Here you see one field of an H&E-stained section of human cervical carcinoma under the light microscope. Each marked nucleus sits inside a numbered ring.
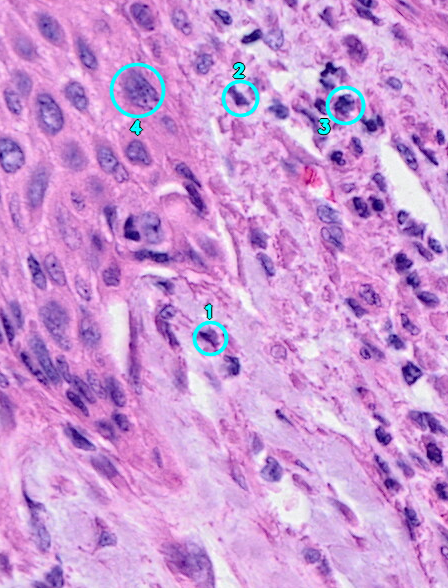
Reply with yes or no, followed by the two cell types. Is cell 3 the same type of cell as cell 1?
No, what is marked as cell 3 is a lymphocyte, and what is marked as cell 1 is a fibroblast.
